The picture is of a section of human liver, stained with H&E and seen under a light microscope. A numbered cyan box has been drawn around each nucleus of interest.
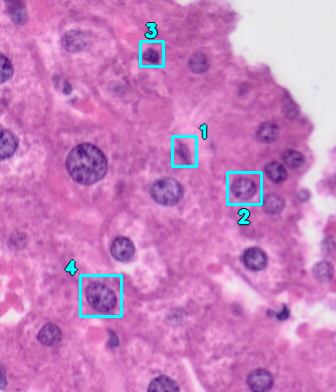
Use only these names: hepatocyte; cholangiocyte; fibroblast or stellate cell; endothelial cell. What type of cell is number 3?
fibroblast or stellate cell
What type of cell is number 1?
endothelial cell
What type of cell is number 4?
hepatocyte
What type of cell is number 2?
hepatocyte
